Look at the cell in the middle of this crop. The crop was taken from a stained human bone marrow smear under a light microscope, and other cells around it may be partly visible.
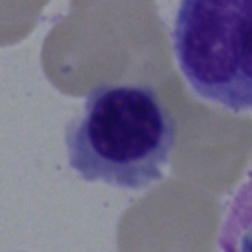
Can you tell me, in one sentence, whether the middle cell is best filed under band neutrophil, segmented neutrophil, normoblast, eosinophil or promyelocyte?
The cell featured at the centre of this crop is a normoblast.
